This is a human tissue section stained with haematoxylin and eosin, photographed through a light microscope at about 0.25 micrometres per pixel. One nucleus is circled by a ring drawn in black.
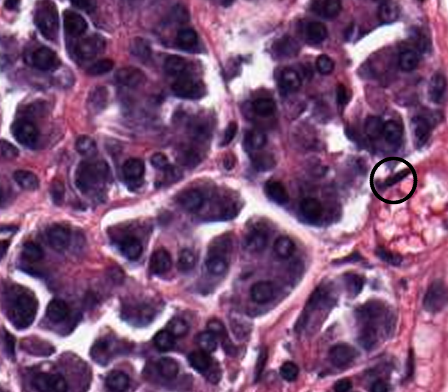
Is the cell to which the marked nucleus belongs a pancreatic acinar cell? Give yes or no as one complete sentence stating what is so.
No, the marked nucleus sits in a supporting cell; a pancreatic acinar cell does not contain it.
